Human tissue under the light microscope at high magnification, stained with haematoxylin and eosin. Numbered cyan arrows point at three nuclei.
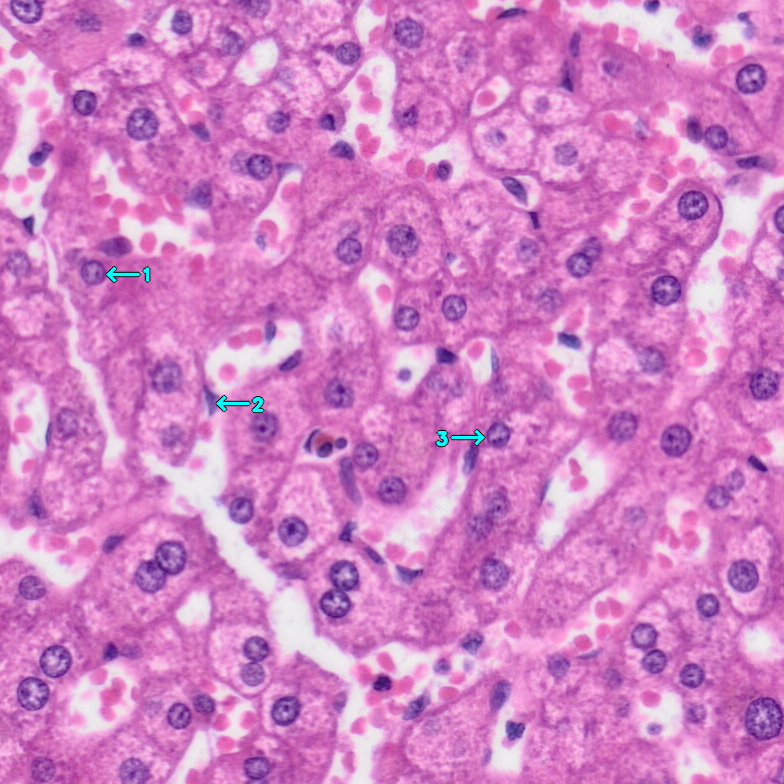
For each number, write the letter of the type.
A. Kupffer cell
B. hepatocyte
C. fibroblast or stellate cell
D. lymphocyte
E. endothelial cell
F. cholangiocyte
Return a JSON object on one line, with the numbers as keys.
{"1": "B", "2": "E", "3": "B"}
